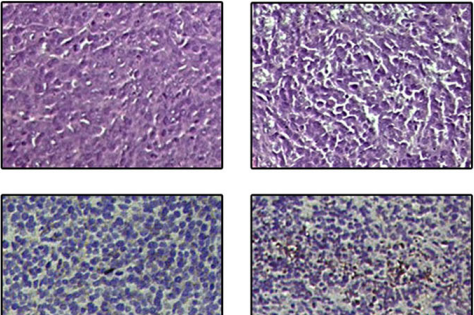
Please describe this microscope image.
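These are sections of a solid tumor, made up of sheets of densely packed cells with no clear glandular or layered arrangement. In the top pair the tissue is stained pink and purple. The cells there have small dark nuclei crowded together, with narrow pale clefts between groups of cells. In the bottom pair the nuclei are counterstained blue, and scattered brown granular deposits lie between and over the cells, more plentiful in one of the two images.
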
